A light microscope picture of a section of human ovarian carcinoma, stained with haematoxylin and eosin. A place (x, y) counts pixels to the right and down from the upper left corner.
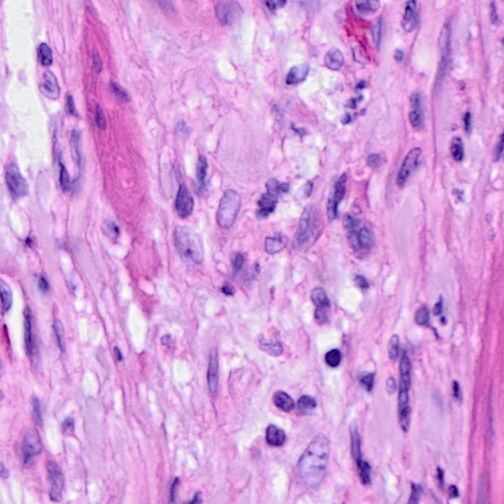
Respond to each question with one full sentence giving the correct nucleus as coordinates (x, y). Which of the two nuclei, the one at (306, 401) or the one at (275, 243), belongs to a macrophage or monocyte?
Of the two nuclei, the one at (275, 243) belongs to a macrophage or monocyte.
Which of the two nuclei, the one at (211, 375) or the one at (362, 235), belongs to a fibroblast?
Of the two nuclei, the one at (211, 375) belongs to a fibroblast.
